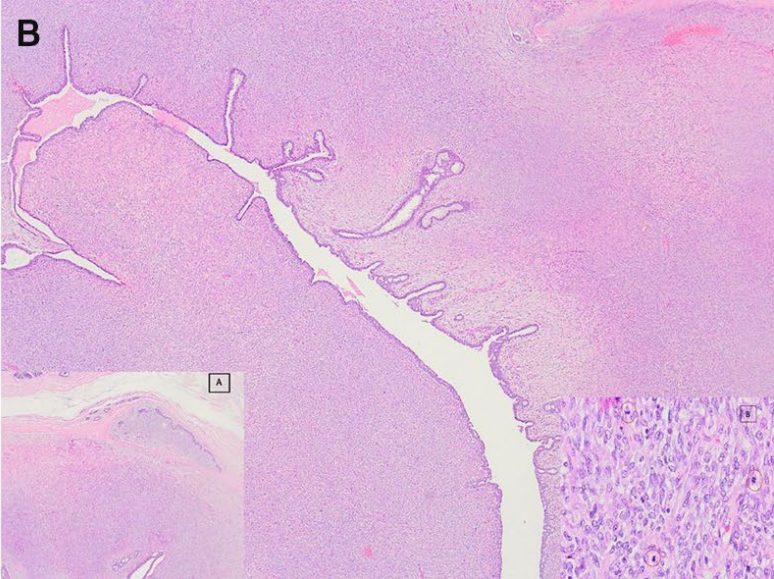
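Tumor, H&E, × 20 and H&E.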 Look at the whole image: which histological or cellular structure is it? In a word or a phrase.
Pronounced clefts lined by bland epithelium.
